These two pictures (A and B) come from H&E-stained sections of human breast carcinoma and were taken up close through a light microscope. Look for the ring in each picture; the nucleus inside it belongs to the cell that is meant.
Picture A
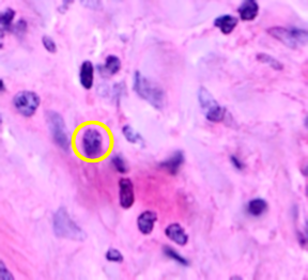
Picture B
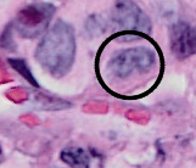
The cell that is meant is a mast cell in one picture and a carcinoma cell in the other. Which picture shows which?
A: mast cell
B: carcinoma cell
